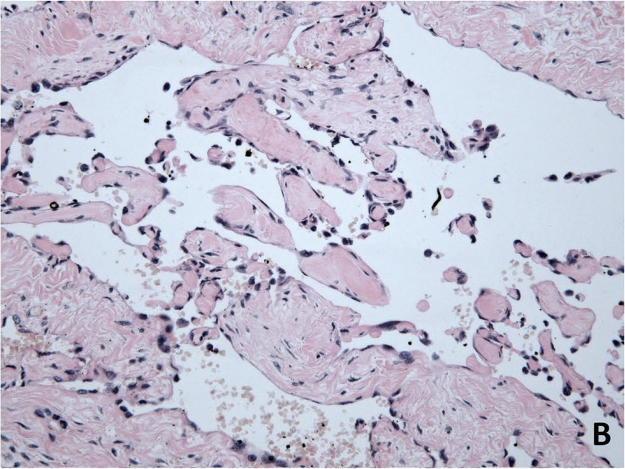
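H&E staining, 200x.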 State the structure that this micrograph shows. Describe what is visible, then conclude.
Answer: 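Finger-like projections of tissue extend into a large open space. The cores are covered by a thin layer of cells with dark nuclei.
Papillary protrusions with hyalinised cores.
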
